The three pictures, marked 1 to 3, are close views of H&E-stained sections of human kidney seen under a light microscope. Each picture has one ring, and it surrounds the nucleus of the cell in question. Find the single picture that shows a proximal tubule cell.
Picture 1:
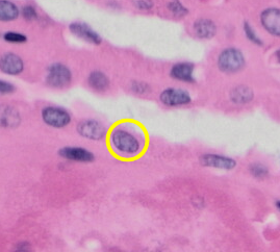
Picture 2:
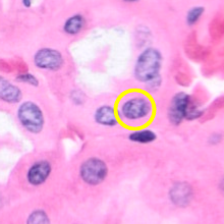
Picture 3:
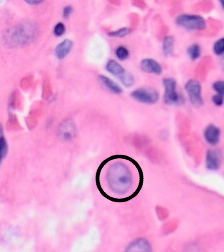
3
